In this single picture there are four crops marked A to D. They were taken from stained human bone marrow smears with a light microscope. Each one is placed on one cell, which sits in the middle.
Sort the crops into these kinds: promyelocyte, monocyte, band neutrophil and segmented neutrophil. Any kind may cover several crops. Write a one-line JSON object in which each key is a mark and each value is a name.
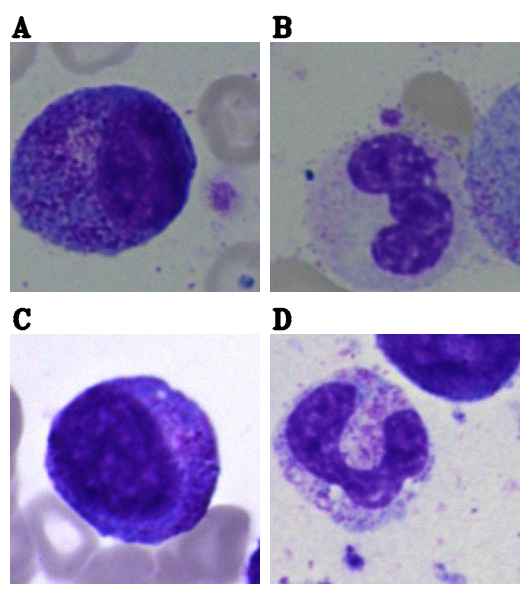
{"A": "promyelocyte", "B": "segmented neutrophil", "C": "promyelocyte", "D": "segmented neutrophil"}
